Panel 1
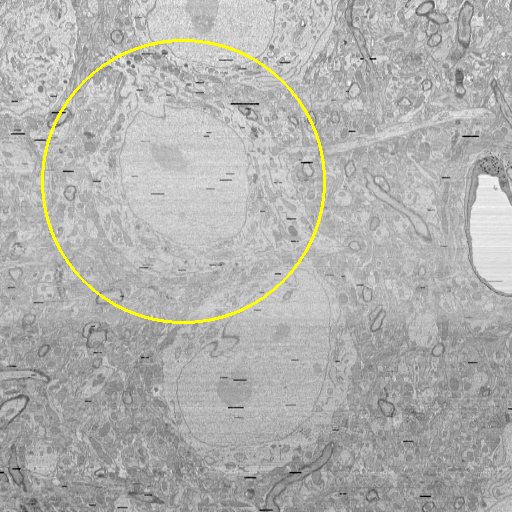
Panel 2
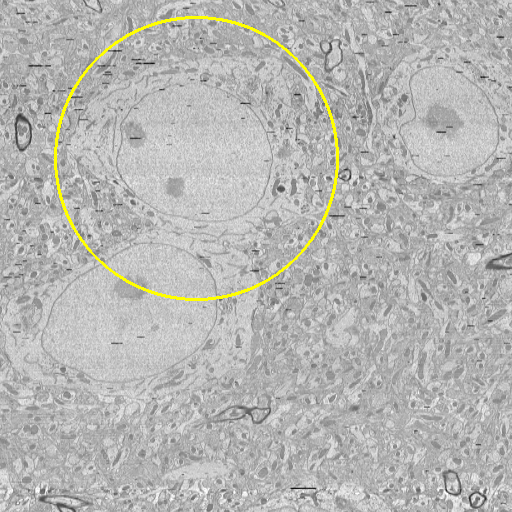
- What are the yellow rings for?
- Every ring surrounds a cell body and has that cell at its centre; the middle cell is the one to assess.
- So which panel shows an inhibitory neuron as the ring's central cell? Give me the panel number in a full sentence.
The panel whose ring is centred on the cell in question is panel 1.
